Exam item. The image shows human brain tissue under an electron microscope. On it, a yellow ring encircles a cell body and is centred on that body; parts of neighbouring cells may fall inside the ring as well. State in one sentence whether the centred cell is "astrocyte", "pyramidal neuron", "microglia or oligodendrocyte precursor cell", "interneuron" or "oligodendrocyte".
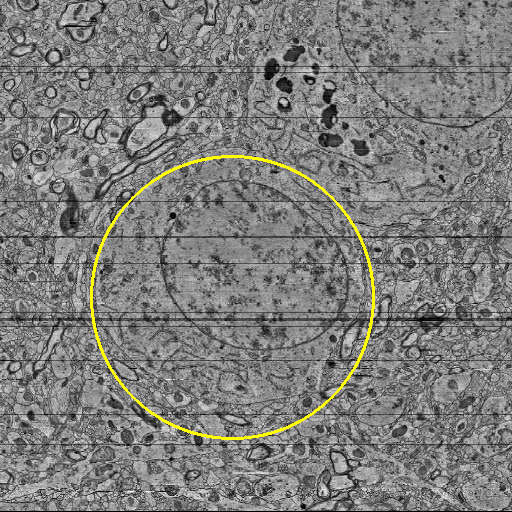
The cell body centred in the ring is a pyramidal neuron.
